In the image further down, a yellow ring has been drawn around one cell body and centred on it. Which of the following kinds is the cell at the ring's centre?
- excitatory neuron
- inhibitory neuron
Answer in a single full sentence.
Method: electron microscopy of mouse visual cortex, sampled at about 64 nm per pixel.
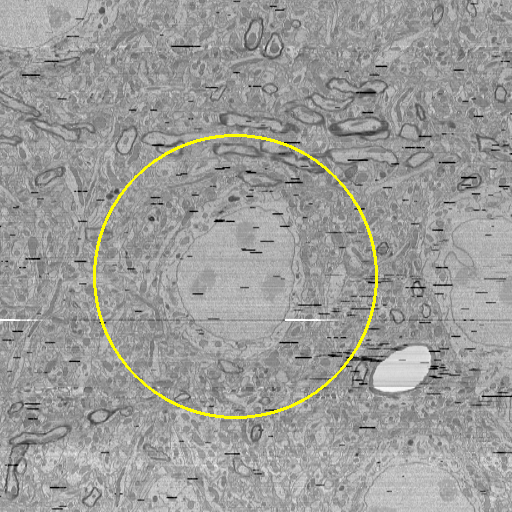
In the picture, the cell sitting at the centre of the yellow ring is an excitatory neuron.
